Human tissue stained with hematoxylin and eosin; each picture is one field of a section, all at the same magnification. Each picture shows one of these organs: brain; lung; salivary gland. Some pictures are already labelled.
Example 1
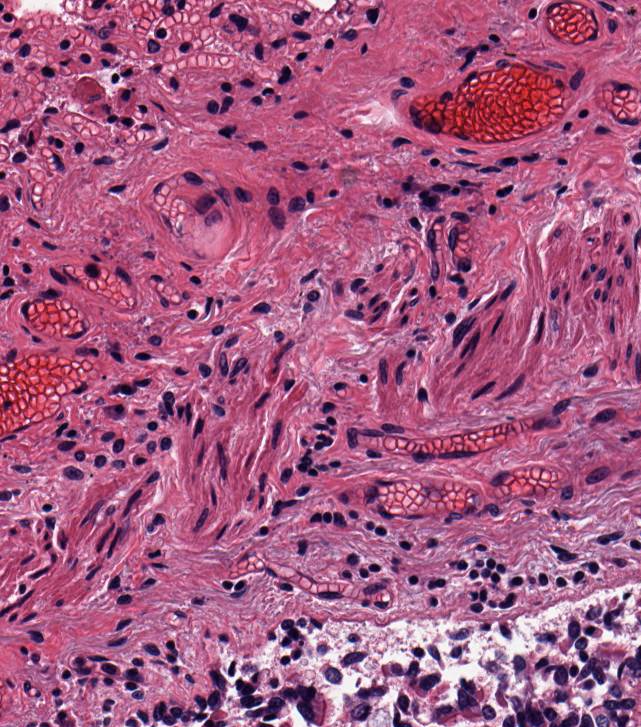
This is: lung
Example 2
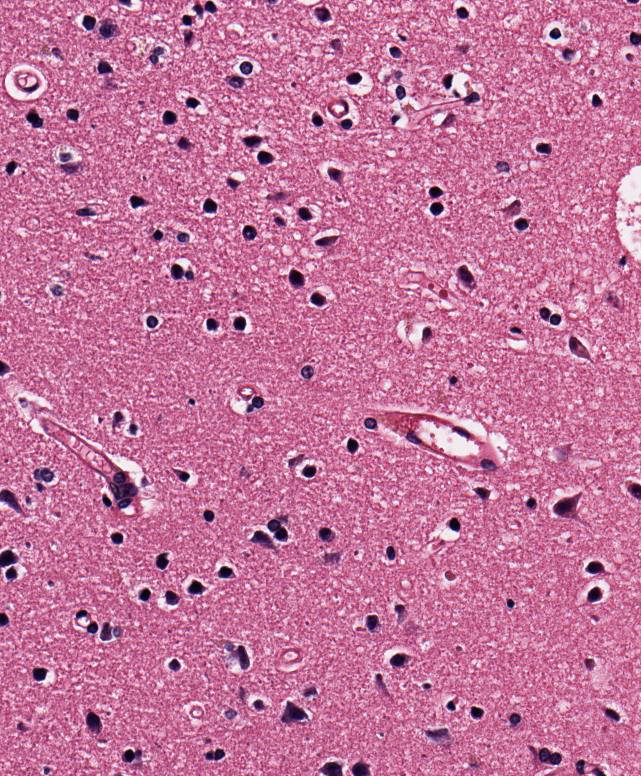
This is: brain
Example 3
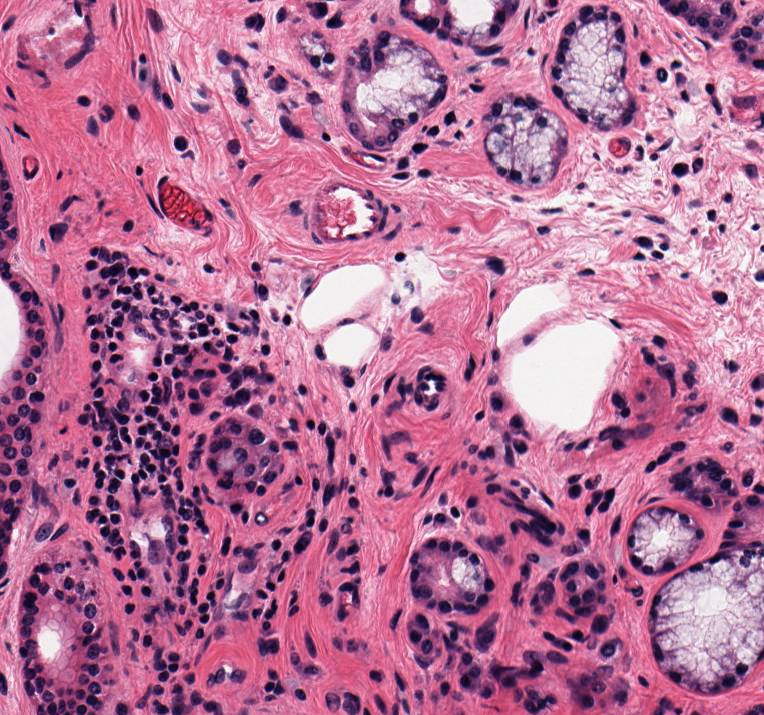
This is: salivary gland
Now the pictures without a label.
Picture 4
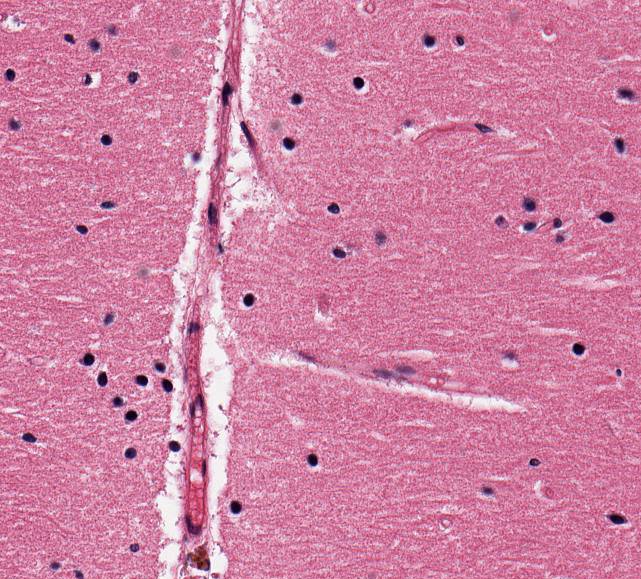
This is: brain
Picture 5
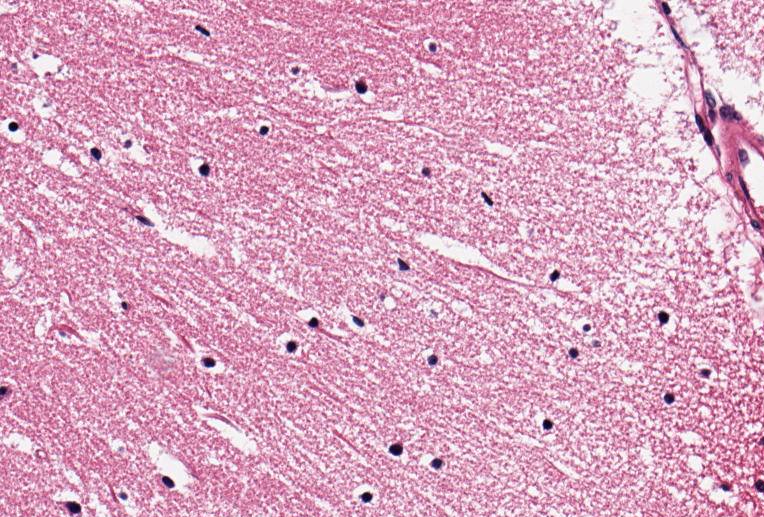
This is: brain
